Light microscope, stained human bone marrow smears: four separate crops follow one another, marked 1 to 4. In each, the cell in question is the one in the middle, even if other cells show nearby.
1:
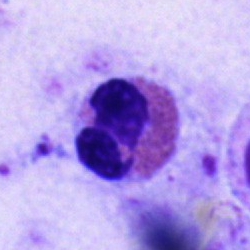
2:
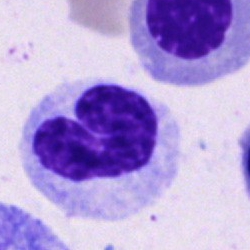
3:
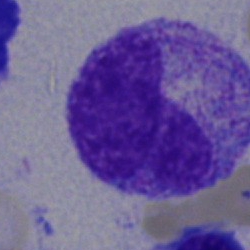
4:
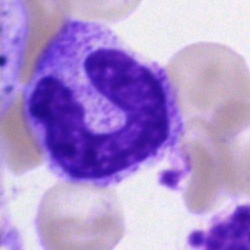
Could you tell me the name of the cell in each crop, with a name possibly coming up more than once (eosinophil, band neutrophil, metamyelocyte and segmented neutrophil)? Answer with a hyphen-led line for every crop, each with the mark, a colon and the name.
- 1: eosinophil
- 2: band neutrophil
- 3: metamyelocyte
- 4: band neutrophil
